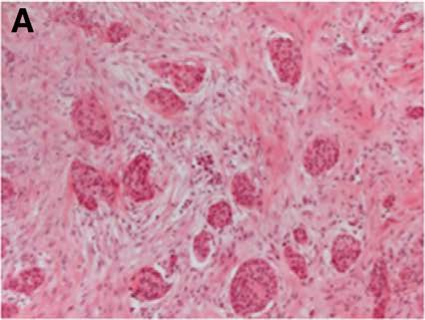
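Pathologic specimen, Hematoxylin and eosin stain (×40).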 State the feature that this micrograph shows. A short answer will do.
Islands of polygonal neoplastic cells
